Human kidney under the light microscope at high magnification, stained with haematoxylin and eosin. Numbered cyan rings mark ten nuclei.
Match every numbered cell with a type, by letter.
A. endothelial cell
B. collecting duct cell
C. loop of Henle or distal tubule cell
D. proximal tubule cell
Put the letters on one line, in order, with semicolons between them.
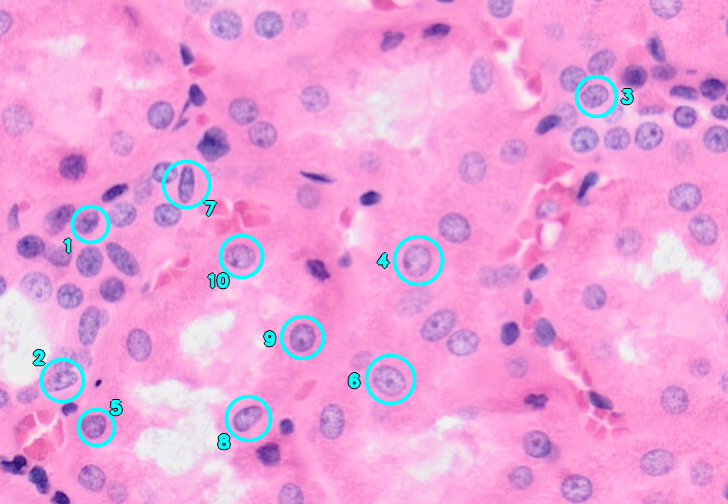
B; B; B; D; D; D; B; D; D; D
